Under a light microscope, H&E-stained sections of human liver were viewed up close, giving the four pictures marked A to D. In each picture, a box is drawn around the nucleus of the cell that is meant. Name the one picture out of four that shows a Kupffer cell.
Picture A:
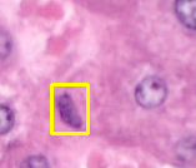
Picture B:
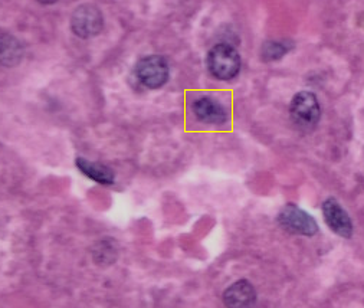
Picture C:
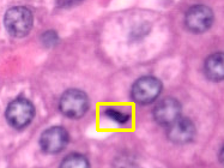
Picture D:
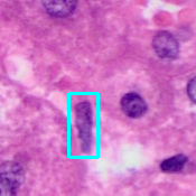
D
